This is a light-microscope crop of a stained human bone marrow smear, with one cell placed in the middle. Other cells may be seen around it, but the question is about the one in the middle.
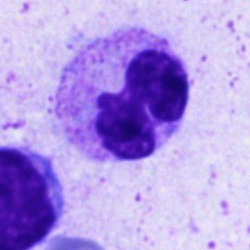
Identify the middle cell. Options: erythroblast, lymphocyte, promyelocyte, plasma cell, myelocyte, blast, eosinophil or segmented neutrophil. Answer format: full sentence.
The crop's centre is taken up by a segmented neutrophil.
